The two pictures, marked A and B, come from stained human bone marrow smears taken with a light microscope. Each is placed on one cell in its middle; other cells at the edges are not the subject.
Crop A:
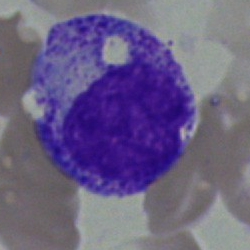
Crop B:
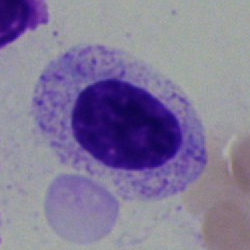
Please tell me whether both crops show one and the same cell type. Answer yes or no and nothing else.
yes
